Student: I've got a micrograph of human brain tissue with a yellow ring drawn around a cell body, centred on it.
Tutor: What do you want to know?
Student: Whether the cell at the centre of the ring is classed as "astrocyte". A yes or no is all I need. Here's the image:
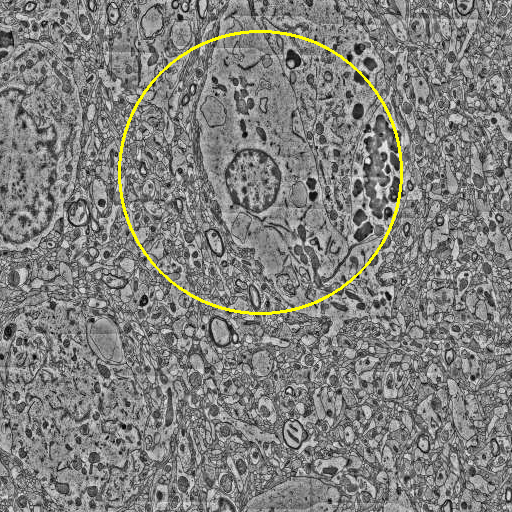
yes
